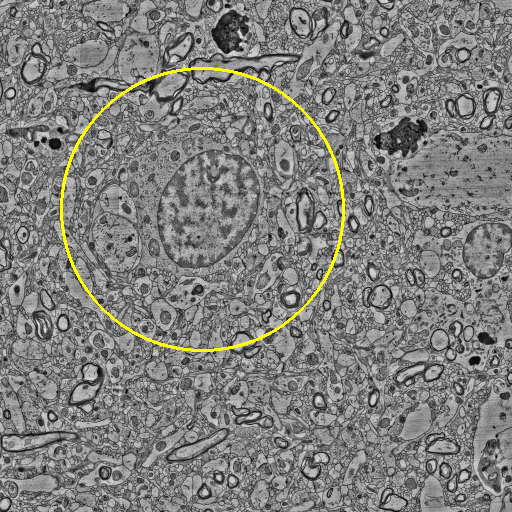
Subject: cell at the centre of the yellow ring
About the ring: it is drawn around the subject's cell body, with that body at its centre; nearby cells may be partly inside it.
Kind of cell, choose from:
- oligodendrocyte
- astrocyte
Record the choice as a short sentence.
The subject cell is an oligodendrocyte.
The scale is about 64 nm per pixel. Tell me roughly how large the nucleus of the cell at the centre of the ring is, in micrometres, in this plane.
The nucleus works out at approximately 8 by 6 micrometres in this plane.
